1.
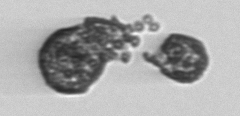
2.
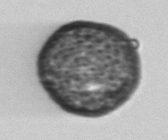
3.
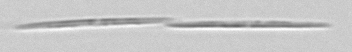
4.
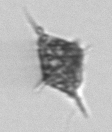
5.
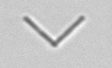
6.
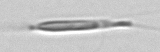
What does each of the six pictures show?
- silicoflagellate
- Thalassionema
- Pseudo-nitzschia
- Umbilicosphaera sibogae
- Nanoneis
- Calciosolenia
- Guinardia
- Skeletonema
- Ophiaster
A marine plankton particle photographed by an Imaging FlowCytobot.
1: Umbilicosphaera sibogae
2: Umbilicosphaera sibogae
3: Pseudo-nitzschia
4: silicoflagellate
5: Nanoneis
6: Calciosolenia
